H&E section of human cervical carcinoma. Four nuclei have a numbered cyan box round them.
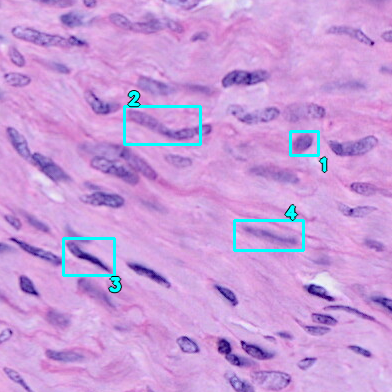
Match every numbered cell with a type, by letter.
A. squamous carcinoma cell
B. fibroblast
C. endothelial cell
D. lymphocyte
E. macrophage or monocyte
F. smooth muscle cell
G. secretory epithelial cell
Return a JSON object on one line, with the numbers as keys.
{"1": "F", "2": "F", "3": "B", "4": "F"}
